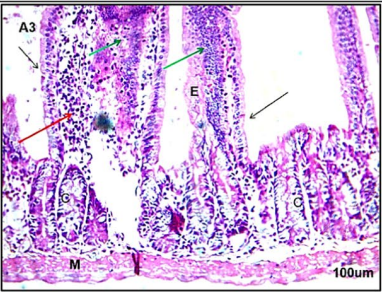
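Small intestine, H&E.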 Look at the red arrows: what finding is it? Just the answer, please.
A: Dense inflammatory cellular infiltrate.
